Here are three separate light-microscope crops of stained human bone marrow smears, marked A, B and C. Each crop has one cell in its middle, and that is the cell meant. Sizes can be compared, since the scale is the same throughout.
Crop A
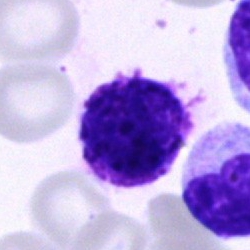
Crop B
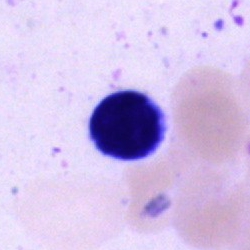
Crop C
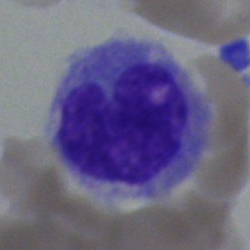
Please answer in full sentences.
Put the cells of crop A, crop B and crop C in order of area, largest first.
Going down, they run C, A, B.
